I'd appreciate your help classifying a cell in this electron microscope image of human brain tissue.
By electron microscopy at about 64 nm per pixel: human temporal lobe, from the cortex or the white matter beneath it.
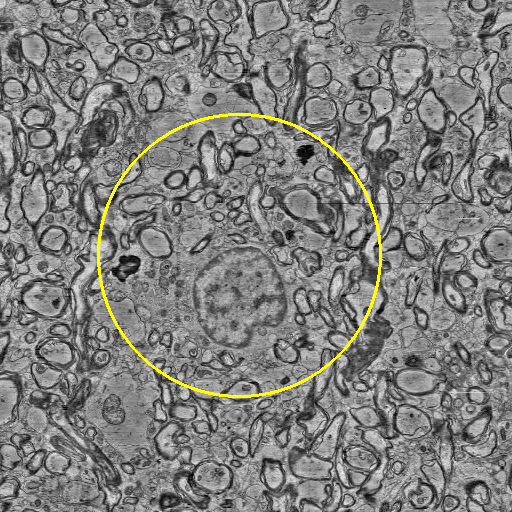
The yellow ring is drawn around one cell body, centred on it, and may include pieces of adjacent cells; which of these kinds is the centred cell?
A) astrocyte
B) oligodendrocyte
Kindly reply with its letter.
B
